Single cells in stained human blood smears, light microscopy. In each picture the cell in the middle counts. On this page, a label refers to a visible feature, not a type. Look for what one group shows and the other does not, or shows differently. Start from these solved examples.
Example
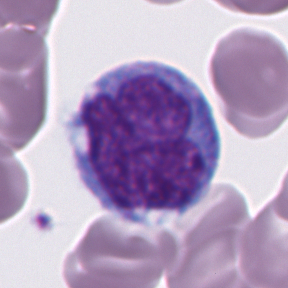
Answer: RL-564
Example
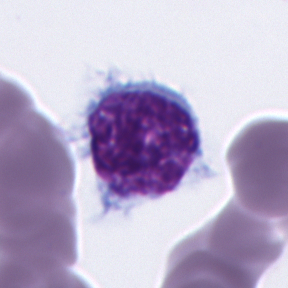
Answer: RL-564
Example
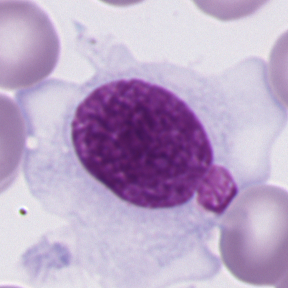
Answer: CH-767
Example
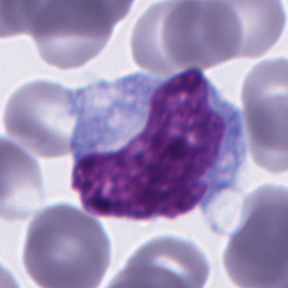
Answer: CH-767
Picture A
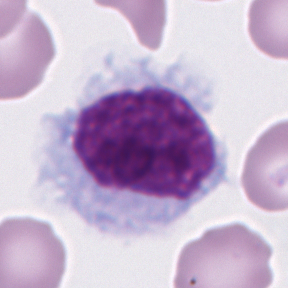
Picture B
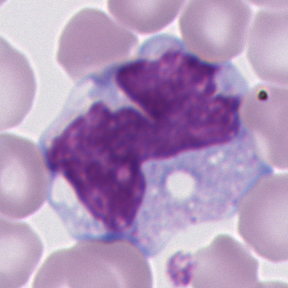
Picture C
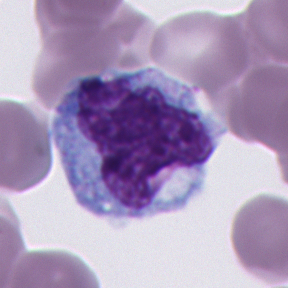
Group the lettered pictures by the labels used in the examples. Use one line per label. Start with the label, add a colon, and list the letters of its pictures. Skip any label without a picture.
CH-767: A, B, C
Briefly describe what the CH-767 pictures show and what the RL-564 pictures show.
CH-767: abundant cytoplasm; RL-564: scant cytoplasm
